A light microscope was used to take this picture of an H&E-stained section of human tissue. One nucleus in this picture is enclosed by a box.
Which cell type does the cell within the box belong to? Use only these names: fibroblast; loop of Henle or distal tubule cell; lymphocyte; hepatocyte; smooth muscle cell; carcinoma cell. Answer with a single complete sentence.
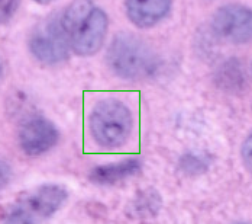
The identity of the cell within the box is that of a carcinoma cell.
